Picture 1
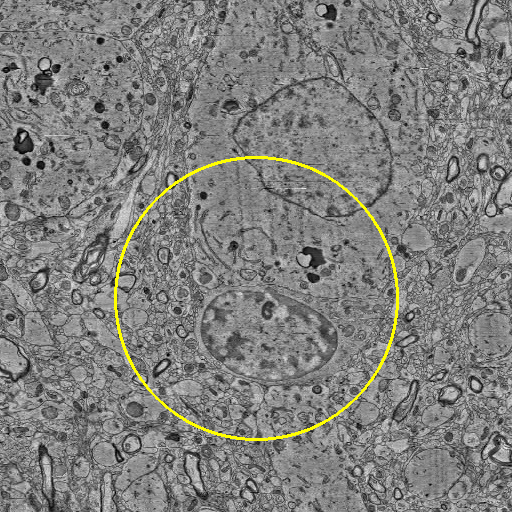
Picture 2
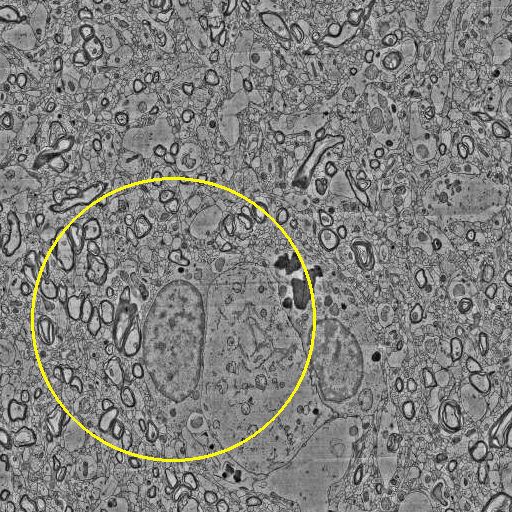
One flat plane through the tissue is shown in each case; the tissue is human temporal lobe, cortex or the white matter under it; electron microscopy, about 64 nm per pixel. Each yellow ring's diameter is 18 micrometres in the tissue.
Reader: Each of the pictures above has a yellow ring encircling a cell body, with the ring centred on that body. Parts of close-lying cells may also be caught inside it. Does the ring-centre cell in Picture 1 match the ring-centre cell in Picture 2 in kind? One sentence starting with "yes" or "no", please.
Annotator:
Yes, Picture 1 and Picture 2 show ring-centre cells of a single kind.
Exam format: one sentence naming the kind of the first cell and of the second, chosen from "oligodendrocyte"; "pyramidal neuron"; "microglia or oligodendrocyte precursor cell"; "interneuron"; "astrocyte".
Both rings mark an oligodendrocyte, one in each picture.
